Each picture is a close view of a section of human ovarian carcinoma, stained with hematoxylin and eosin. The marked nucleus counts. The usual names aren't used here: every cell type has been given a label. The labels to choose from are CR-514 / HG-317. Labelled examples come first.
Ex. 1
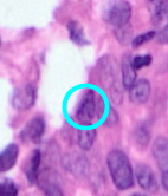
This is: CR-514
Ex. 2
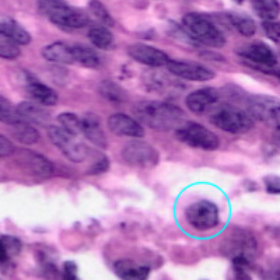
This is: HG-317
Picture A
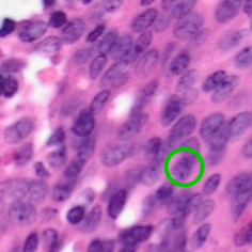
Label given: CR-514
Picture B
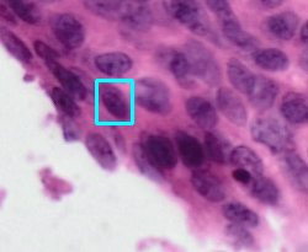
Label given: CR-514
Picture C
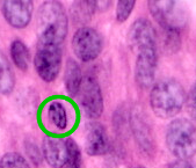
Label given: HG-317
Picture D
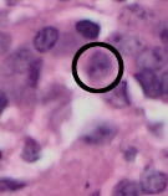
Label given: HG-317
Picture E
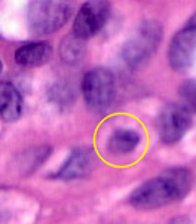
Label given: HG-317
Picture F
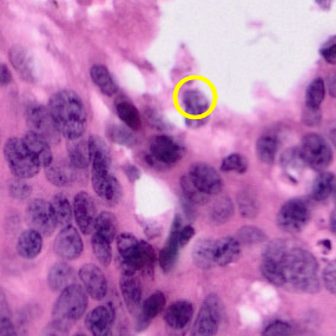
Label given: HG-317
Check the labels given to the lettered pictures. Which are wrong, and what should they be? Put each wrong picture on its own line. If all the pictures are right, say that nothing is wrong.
No label is wrong.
